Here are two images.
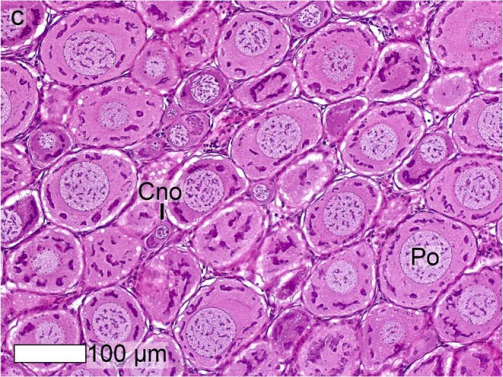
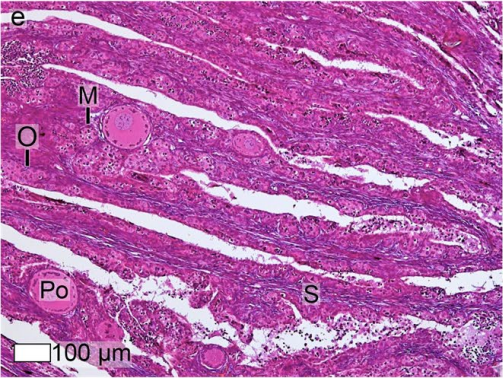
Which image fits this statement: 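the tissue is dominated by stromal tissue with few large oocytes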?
The second image.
